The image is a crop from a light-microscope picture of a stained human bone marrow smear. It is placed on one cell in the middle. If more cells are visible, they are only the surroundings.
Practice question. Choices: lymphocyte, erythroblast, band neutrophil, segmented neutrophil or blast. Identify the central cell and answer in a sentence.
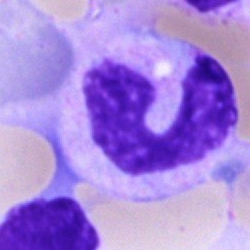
The crop centres on a single cell, and that cell is a band neutrophil.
